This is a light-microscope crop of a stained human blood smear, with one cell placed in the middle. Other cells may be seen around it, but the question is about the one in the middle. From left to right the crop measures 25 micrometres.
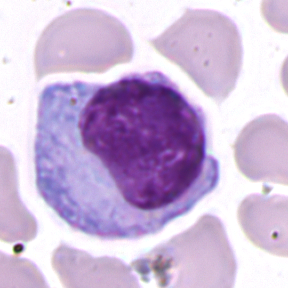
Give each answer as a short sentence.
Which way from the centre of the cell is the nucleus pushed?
The nucleus is pushed toward the upper right of the cell.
